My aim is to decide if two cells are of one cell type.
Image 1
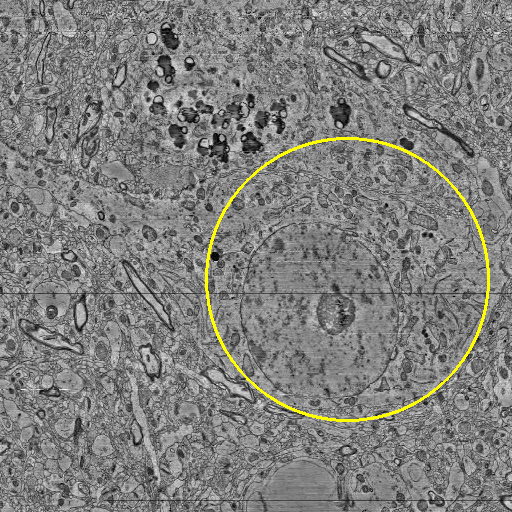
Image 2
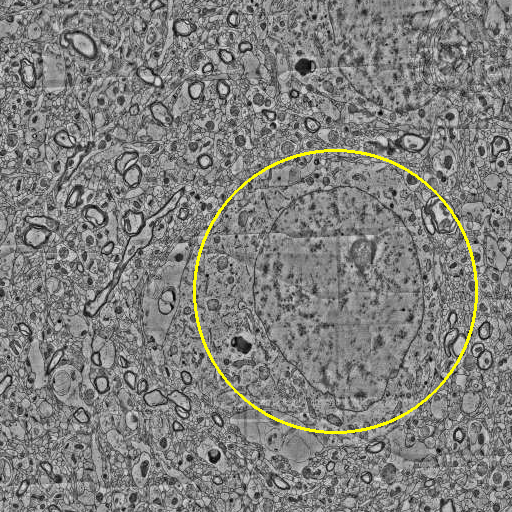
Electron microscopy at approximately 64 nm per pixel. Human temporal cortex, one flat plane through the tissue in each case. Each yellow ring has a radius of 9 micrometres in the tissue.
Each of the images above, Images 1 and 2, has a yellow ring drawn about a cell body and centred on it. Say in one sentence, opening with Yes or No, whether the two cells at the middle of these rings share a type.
No, in Images 1 and 2 the cells at the middle of the rings fall into two types.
